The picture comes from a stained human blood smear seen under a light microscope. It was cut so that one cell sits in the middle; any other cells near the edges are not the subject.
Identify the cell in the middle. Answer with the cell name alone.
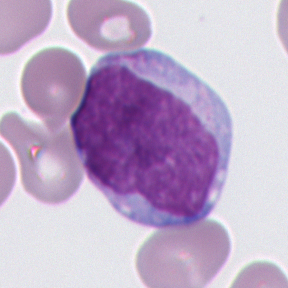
atypical promyelocyte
